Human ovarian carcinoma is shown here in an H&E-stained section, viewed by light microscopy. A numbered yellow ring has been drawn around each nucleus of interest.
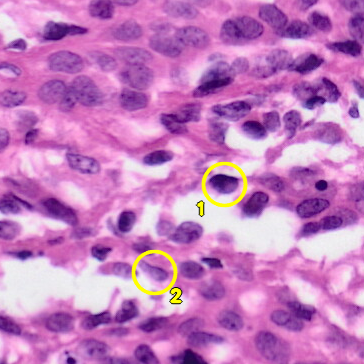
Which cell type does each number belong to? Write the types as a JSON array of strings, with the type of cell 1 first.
["carcinoma cell", "macrophage or monocyte"]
